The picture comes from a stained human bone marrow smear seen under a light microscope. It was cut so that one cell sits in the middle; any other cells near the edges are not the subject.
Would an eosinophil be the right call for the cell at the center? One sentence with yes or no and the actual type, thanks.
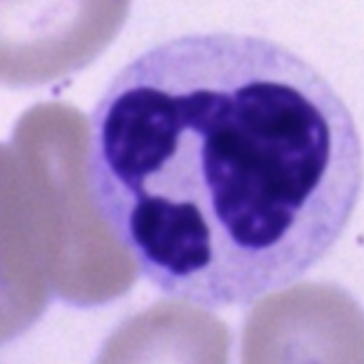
No, the centre cell is not an eosinophil but a neutrophil.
